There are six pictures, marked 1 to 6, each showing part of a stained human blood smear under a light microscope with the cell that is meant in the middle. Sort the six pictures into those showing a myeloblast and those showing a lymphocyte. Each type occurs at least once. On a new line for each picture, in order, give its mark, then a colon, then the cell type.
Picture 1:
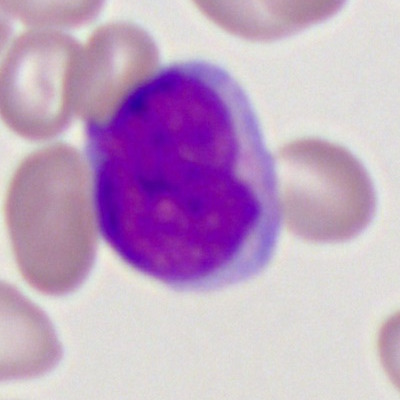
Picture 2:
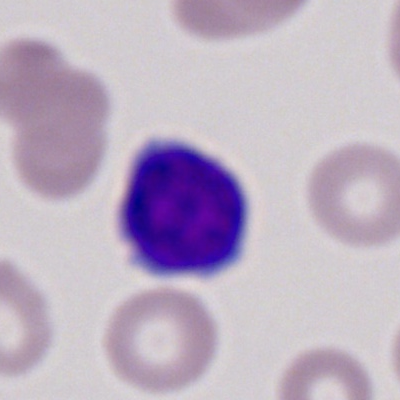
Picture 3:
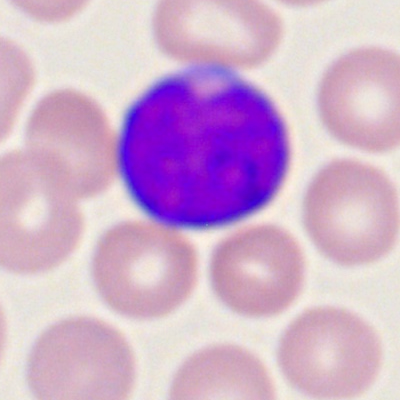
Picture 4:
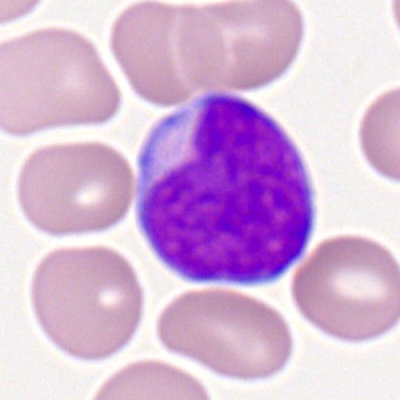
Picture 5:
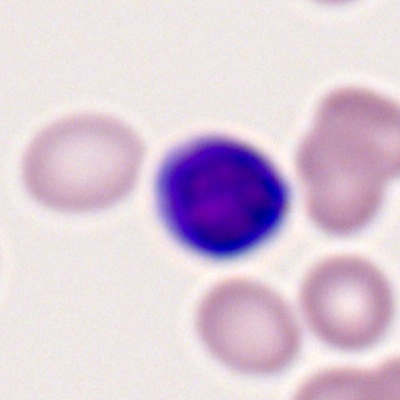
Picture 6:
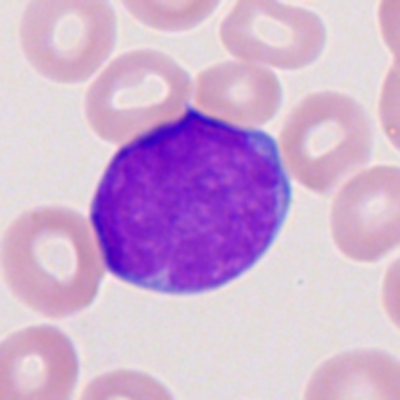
1: myeloblast
2: lymphocyte
3: myeloblast
4: myeloblast
5: lymphocyte
6: myeloblast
